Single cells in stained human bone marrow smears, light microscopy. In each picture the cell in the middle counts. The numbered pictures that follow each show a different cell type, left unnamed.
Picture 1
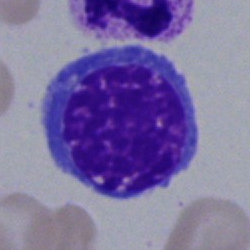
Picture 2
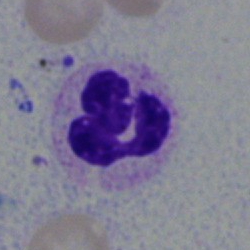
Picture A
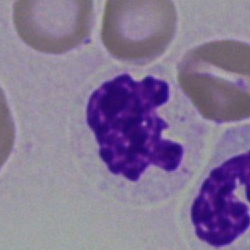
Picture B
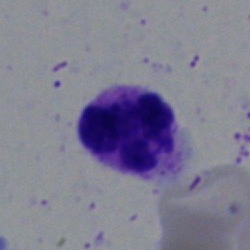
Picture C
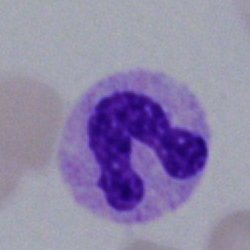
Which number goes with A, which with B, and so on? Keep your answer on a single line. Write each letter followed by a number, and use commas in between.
A 2, B 2, C 2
